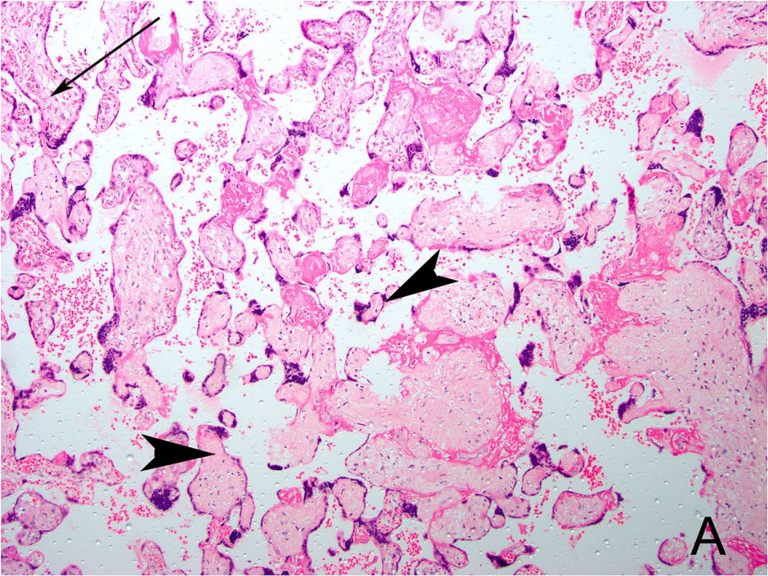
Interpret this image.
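This is placental tissue at low power, showing many chorionic villi cut in different planes, floating in intervillous space that holds scattered red blood cells. Many of the villi in the centre and right have a pale pink, glassy, uniform stroma with few nuclei and no visible vessels with blood inside. Their surfaces carry dark purple clumps of trophoblast nuclei. Some pink, stringy material lies between villi in places. Toward the upper left edge the villi look more cellular.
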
